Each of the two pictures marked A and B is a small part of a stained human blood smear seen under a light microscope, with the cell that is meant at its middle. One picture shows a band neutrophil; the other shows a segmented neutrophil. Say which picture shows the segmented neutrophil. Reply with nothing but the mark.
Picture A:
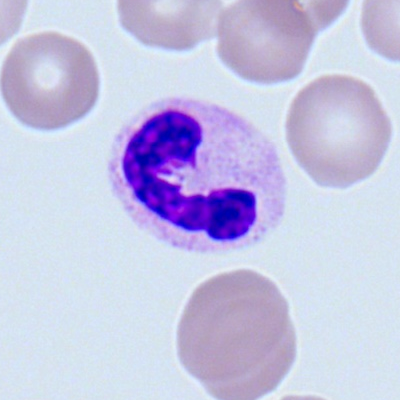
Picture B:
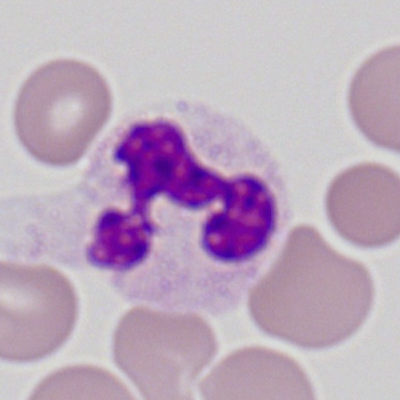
B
